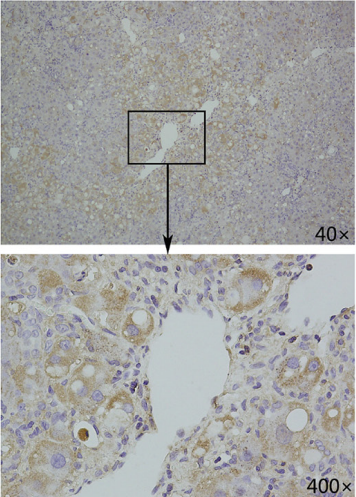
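This is a section of liver, with a low-power view above and an enlargement of the boxed region around a vessel lumen below. The brown stain is patchy at low power, seemingly stronger in the parenchyma close to the vessel. At high power, large rounded cells with round blue nuclei carry diffuse to granular brown cytoplasmic stain. Several of these cells contain clear vacuoles within the cytoplasm. Smaller cells with dark, compact blue nuclei lie in between and are barely stained.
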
